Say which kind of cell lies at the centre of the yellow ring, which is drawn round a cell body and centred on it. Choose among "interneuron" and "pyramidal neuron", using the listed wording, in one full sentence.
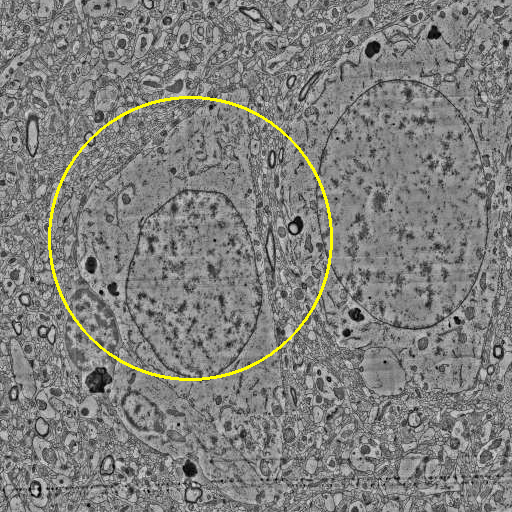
Going by the list, the cell at the yellow ring's centre is a pyramidal neuron.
